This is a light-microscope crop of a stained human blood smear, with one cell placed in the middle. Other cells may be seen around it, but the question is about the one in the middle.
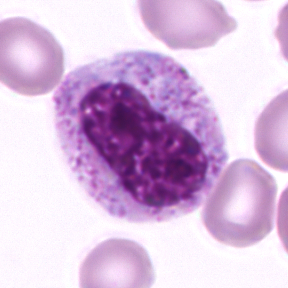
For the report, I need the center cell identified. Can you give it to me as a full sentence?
Occupying the centre of the crop is a metamyelocyte.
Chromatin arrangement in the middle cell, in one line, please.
What stands out is chromatin that is coarsely clumped.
